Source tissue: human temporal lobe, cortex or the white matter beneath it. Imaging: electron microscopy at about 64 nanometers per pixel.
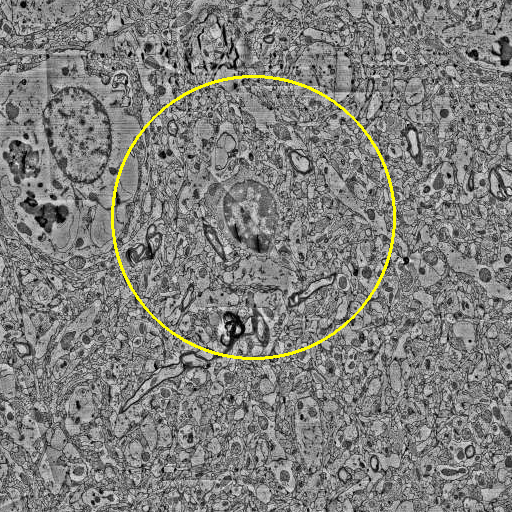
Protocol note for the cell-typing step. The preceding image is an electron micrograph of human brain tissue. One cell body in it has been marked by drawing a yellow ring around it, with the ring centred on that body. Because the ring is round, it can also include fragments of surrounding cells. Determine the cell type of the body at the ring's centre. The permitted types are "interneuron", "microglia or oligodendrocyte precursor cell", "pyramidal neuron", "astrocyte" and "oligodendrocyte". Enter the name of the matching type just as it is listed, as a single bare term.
oligodendrocyte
